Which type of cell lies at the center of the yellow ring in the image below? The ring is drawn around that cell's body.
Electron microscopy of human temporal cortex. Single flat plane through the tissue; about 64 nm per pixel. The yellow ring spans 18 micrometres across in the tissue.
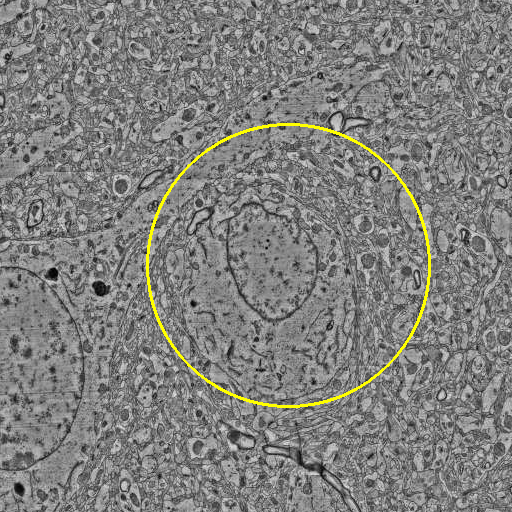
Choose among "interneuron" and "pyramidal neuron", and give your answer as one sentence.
The cell body at the center belongs to a pyramidal neuron.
